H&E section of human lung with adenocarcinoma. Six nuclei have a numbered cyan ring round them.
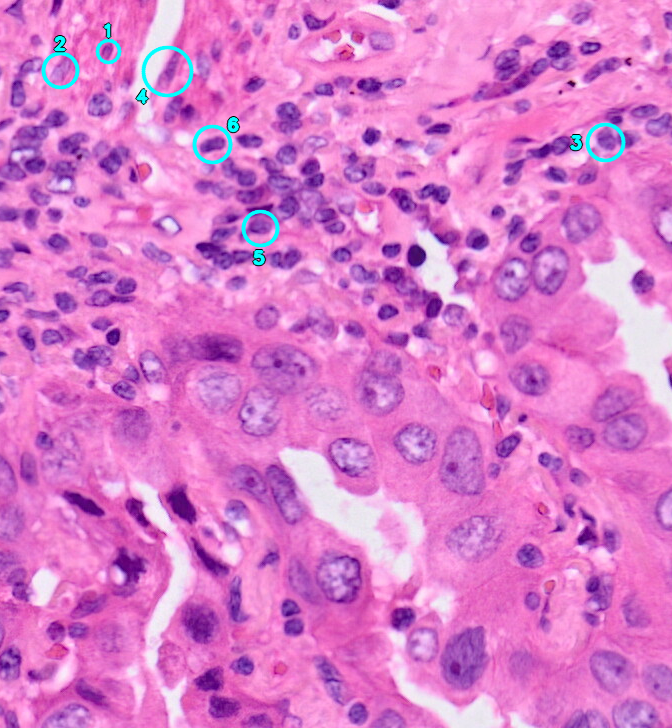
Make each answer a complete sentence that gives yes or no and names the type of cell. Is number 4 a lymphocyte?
No, cell 4 is classified as a smooth muscle cell or pericyte rather than a lymphocyte.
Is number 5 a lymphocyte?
Yes, in this section the cell with number 5 is a lymphocyte.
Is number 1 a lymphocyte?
No, the cell carrying number 1 is a smooth muscle cell or pericyte rather than a lymphocyte.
